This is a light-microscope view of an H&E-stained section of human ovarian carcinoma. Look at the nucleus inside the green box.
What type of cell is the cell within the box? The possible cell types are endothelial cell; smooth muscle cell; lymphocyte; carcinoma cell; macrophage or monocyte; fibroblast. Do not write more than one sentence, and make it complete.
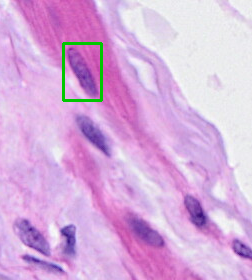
It is a smooth muscle cell that the cell within the box represents.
